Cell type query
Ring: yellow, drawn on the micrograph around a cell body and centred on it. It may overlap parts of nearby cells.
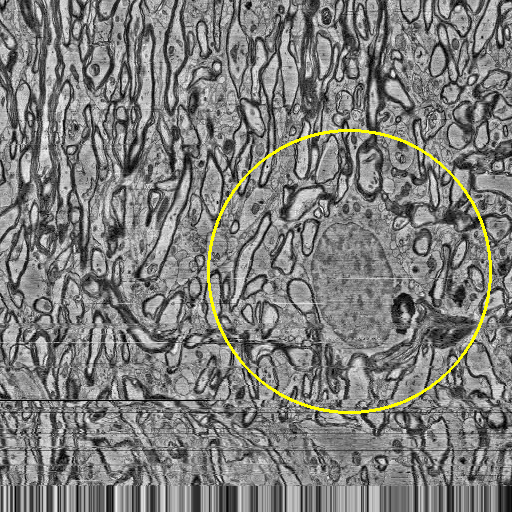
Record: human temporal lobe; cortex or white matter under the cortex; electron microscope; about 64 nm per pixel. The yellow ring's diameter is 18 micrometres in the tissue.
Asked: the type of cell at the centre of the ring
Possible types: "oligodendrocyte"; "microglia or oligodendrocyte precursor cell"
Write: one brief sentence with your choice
The ring marks an oligodendrocyte.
